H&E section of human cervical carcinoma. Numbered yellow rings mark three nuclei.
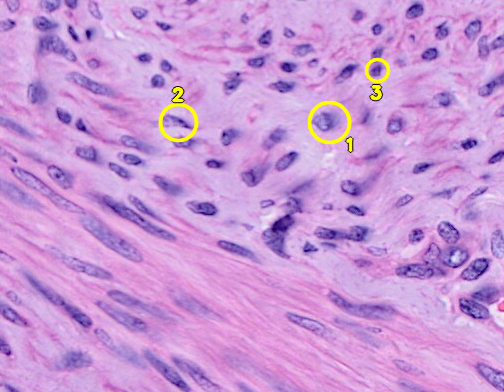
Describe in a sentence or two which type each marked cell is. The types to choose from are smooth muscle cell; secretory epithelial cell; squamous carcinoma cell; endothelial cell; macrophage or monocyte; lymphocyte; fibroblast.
Cell 1 is a fibroblast. Cells 2 and 3 are smooth muscle cells.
